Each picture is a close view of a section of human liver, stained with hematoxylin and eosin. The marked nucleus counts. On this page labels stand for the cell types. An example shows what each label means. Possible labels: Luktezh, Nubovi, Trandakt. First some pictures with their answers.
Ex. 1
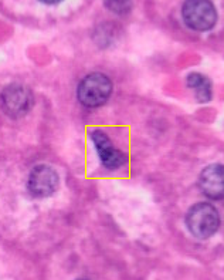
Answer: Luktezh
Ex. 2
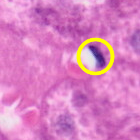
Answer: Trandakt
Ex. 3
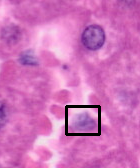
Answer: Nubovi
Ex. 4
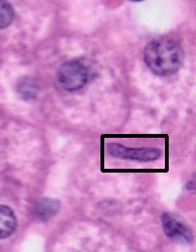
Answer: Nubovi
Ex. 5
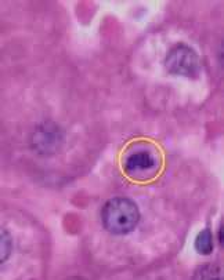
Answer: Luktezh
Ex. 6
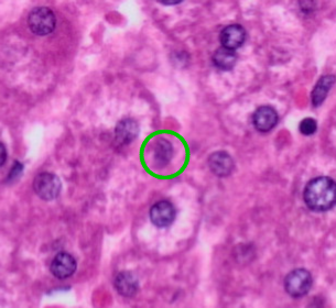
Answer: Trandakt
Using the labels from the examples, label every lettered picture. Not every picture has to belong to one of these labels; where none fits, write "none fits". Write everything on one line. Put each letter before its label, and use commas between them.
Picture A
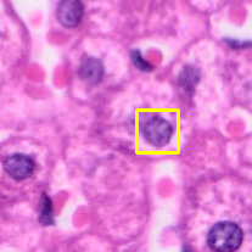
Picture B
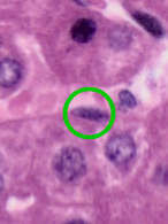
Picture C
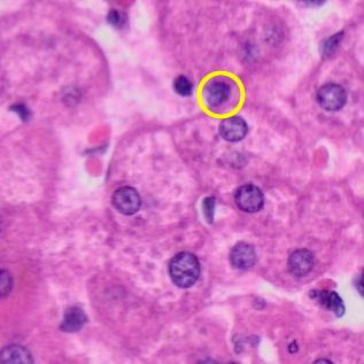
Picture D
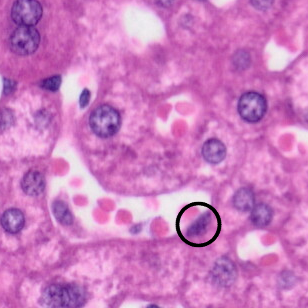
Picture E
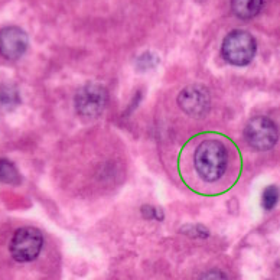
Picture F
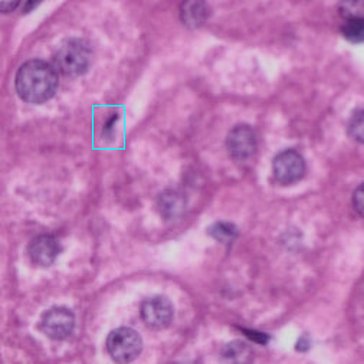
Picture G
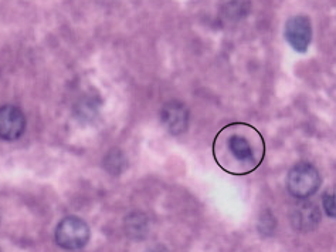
A none fits, B Trandakt, C Luktezh, D Trandakt, E none fits, F Trandakt, G Luktezh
